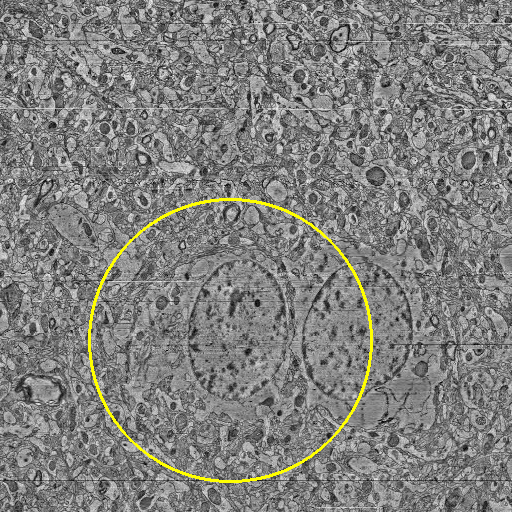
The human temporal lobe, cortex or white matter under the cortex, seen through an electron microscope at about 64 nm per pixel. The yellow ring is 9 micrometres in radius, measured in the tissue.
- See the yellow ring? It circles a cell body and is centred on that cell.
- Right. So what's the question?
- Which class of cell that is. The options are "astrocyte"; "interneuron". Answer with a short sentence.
The centre of the ring holds an astrocyte.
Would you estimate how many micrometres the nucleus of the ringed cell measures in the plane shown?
Roughly 9 by 6 micrometres in this plane, for the nucleus of the ringed cell.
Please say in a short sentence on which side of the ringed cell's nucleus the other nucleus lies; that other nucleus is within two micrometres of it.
The second nucleus is to the right of it.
